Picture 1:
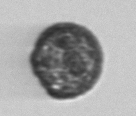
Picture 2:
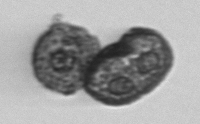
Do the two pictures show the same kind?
Yes, both are Umbilicosphaera sibogae.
